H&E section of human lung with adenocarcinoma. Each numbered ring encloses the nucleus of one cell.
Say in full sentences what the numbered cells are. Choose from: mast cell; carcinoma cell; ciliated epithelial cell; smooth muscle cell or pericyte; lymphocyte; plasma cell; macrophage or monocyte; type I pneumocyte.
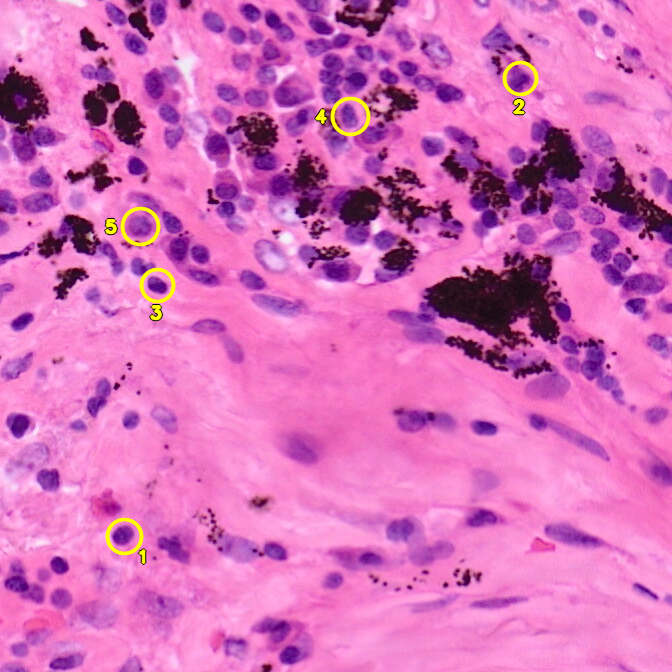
Cells 1, 3 and 4 are lymphocytes. Cells 2 and 5 are plasma cells.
